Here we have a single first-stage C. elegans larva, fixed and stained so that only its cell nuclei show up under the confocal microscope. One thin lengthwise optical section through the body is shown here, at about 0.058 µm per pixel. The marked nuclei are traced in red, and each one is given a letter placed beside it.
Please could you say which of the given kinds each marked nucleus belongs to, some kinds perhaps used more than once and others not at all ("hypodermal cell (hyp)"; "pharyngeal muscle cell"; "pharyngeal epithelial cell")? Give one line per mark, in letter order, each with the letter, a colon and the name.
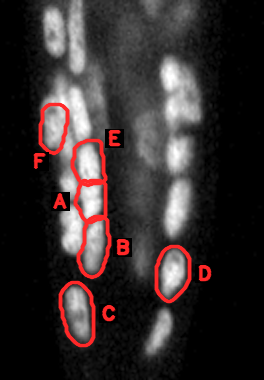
A: pharyngeal muscle cell
B: pharyngeal epithelial cell
C: hypodermal cell (hyp)
D: hypodermal cell (hyp)
E: pharyngeal muscle cell
F: hypodermal cell (hyp)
